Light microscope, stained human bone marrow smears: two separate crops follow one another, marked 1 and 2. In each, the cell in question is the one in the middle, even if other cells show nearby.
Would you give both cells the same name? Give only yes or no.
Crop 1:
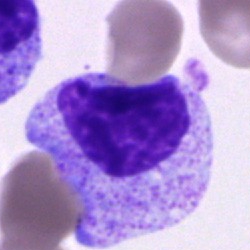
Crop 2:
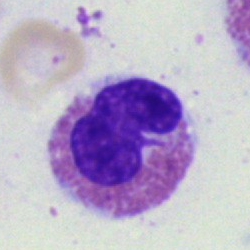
no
